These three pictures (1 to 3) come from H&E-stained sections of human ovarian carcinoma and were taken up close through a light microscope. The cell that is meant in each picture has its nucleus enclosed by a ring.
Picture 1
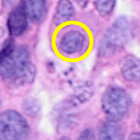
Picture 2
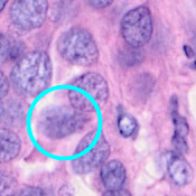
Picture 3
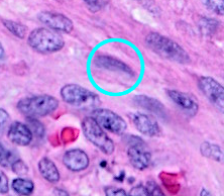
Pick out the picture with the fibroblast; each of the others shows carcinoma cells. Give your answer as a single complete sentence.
Picture 3 shows the fibroblast.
